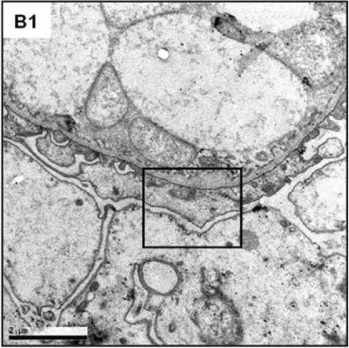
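Here a glomerular capillary wall with overlying podocyte cytoplasm is seen. A capillary lumen at the top holds a rounded cell, and beneath it runs a thin dark basement membrane. On the outer side of this membrane the podocyte cytoplasm forms broad flattened stretches rather than a row of small separate foot processes; slits between neighbouring processes are few and irregular. Pale swollen-looking cytoplasm and scattered vesicles fill the lower part of the field. The orderly comb-like arrangement of foot processes is largely lost, consistent with effacement of the foot processes along this loop.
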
